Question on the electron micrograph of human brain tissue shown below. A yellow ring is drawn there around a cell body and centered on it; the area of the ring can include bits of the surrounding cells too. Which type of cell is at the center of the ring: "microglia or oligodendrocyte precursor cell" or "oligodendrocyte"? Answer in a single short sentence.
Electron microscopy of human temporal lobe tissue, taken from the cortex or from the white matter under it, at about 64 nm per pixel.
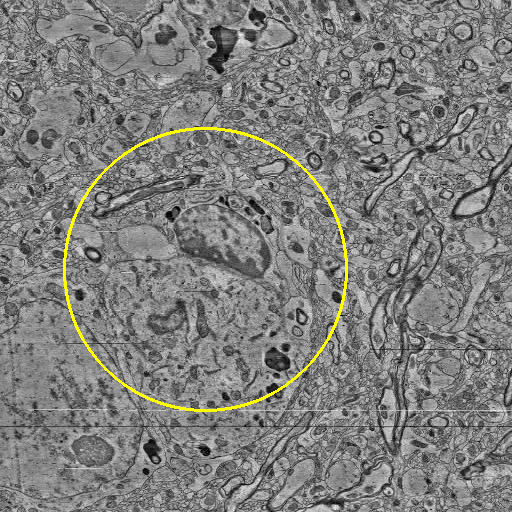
The ring is centered on a microglial cell or oligodendrocyte precursor cell.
